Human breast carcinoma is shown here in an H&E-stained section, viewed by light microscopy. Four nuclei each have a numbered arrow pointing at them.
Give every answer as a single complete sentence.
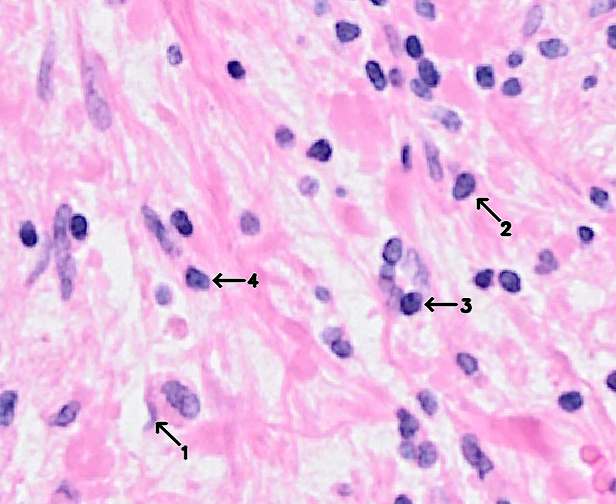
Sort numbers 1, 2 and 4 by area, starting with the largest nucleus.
From largest to smallest, the order is 2, 4, 1.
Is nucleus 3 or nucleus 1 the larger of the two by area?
Nucleus 3 covers more area, about 2.5 times as much as nucleus 1.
